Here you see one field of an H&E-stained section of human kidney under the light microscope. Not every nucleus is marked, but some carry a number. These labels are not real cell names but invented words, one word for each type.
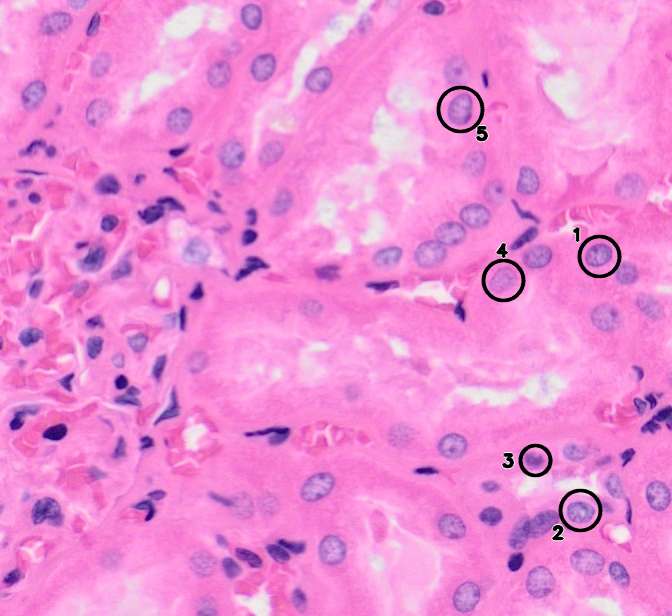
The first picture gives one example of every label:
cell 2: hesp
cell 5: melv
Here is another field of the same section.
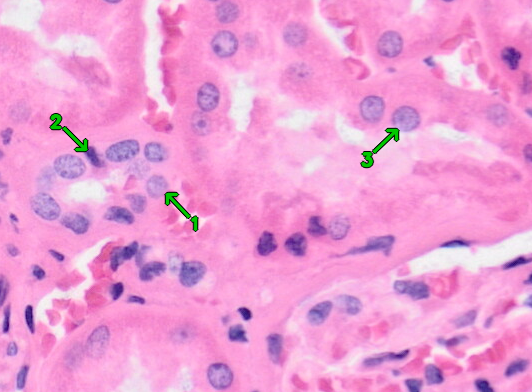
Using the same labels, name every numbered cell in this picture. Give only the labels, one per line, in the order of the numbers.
hesp
hesp
melv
